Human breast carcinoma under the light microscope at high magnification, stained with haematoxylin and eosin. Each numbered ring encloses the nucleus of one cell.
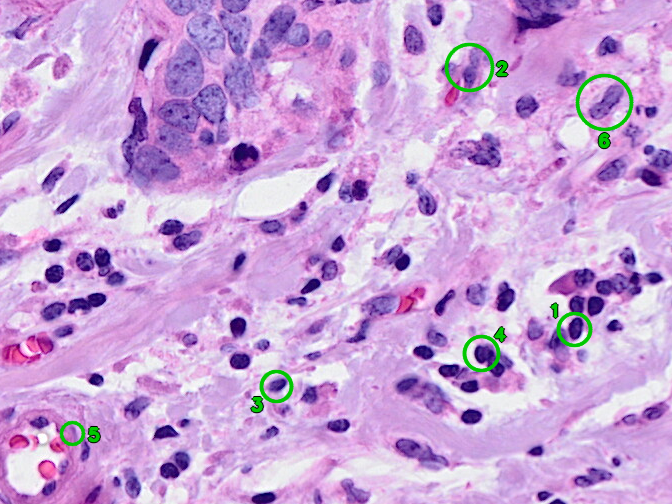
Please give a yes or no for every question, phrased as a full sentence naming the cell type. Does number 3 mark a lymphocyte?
Yes, the cell with the number 3 is a lymphocyte.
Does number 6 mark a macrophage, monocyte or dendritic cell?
Yes, the cell denoted by 6 is a macrophage, monocyte or dendritic cell.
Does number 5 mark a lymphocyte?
No, cell 5 should be read as an endothelial cell instead of a lymphocyte.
